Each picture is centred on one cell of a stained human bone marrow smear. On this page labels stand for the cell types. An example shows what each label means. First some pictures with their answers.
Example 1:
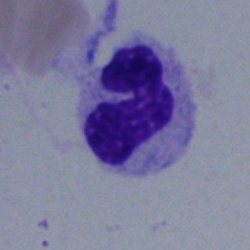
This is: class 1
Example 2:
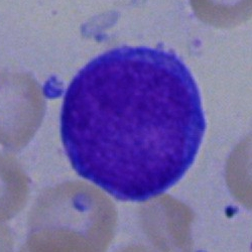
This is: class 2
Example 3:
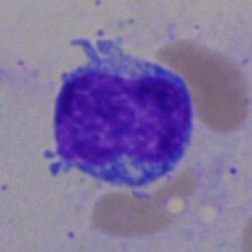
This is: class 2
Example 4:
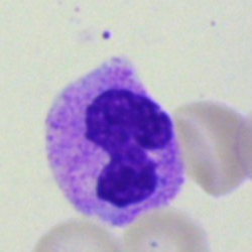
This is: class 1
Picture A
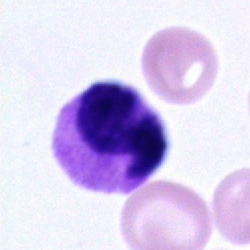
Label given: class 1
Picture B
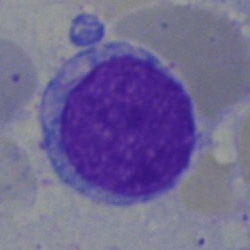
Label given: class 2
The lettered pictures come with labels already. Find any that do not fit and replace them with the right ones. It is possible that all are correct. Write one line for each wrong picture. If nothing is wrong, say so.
Every label is right.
